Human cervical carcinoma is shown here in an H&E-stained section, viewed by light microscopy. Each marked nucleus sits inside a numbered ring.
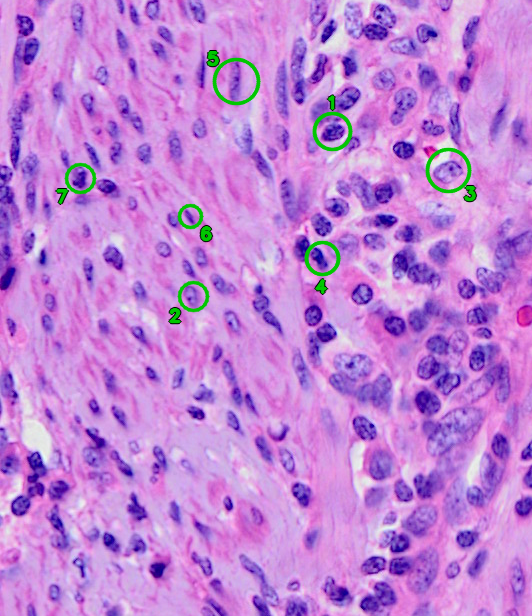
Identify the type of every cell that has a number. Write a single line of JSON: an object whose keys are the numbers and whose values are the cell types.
{"1": "lymphocyte", "2": "smooth muscle cell", "3": "endothelial cell", "4": "lymphocyte", "5": "smooth muscle cell", "6": "smooth muscle cell", "7": "lymphocyte"}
